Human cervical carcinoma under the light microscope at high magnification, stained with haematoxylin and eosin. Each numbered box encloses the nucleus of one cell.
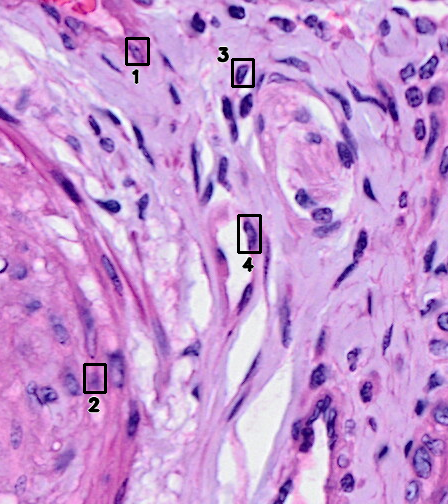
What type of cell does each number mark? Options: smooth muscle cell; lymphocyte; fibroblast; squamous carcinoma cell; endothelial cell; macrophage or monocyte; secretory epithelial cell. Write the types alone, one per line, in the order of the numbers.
endothelial cell
smooth muscle cell
lymphocyte
endothelial cell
